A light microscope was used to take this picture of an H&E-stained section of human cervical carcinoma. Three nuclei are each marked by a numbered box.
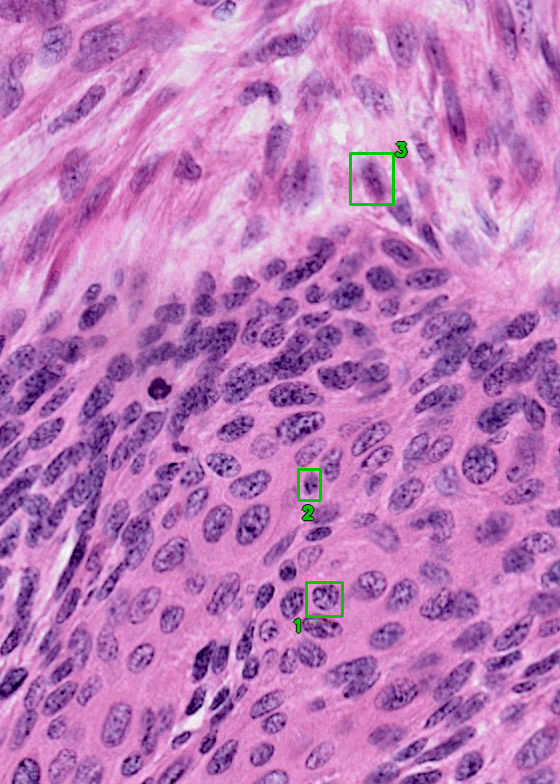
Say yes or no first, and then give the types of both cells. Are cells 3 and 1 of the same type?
No, cell 3 is a fibroblast and cell 1 is a squamous carcinoma cell.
